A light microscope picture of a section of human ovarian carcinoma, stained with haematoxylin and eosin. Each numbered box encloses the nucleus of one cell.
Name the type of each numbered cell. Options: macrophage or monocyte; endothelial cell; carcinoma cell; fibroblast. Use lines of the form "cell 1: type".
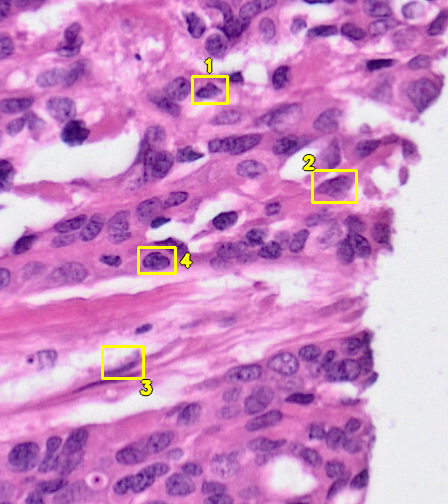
cell 1: macrophage or monocyte
cell 2: carcinoma cell
cell 3: fibroblast
cell 4: macrophage or monocyte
